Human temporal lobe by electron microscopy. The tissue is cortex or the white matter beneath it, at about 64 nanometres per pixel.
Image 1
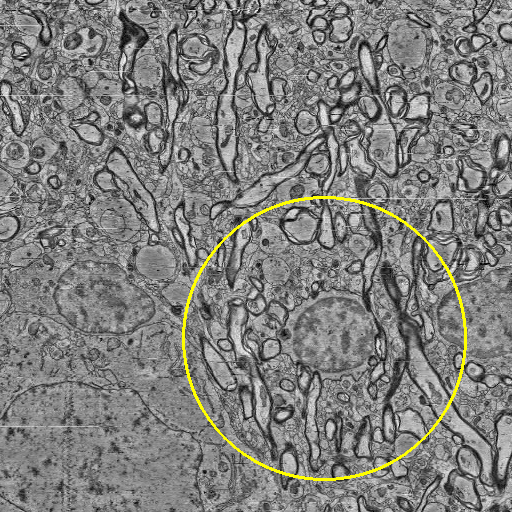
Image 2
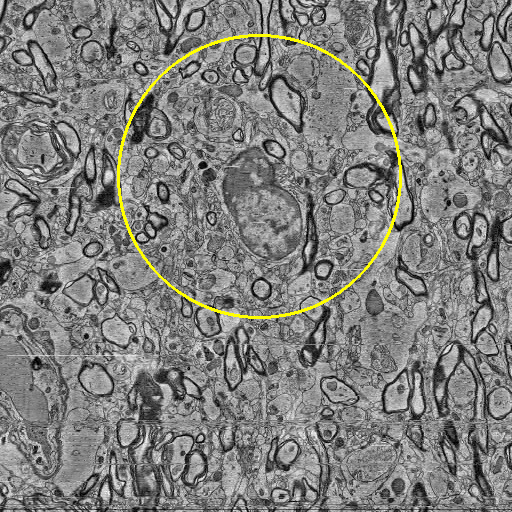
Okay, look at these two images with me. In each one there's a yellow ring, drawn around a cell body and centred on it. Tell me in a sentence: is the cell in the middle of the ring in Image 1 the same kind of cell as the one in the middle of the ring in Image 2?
No, they're two kinds of cell.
